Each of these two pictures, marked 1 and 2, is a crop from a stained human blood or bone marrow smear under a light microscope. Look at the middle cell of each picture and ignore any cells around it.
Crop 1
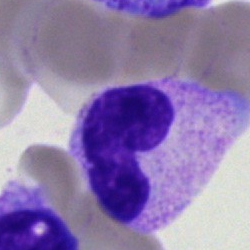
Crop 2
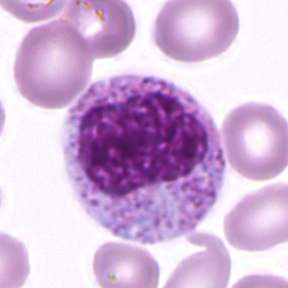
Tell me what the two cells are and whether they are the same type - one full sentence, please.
No, crop 1 has a band neutrophil in the middle, and crop 2 has a metamyelocyte.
